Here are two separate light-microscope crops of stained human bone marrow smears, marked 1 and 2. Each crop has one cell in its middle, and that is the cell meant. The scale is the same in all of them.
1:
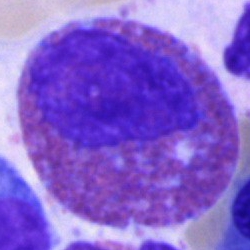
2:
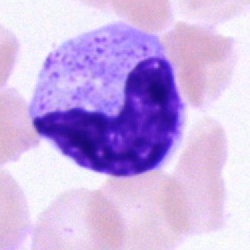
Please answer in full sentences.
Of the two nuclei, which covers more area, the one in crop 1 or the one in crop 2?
The nucleus in crop 1 is larger, with about 1.5 times the area of the one in crop 2.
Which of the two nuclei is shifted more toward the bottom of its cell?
It is the nucleus in crop 2 that lies further toward the bottom of its cell.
